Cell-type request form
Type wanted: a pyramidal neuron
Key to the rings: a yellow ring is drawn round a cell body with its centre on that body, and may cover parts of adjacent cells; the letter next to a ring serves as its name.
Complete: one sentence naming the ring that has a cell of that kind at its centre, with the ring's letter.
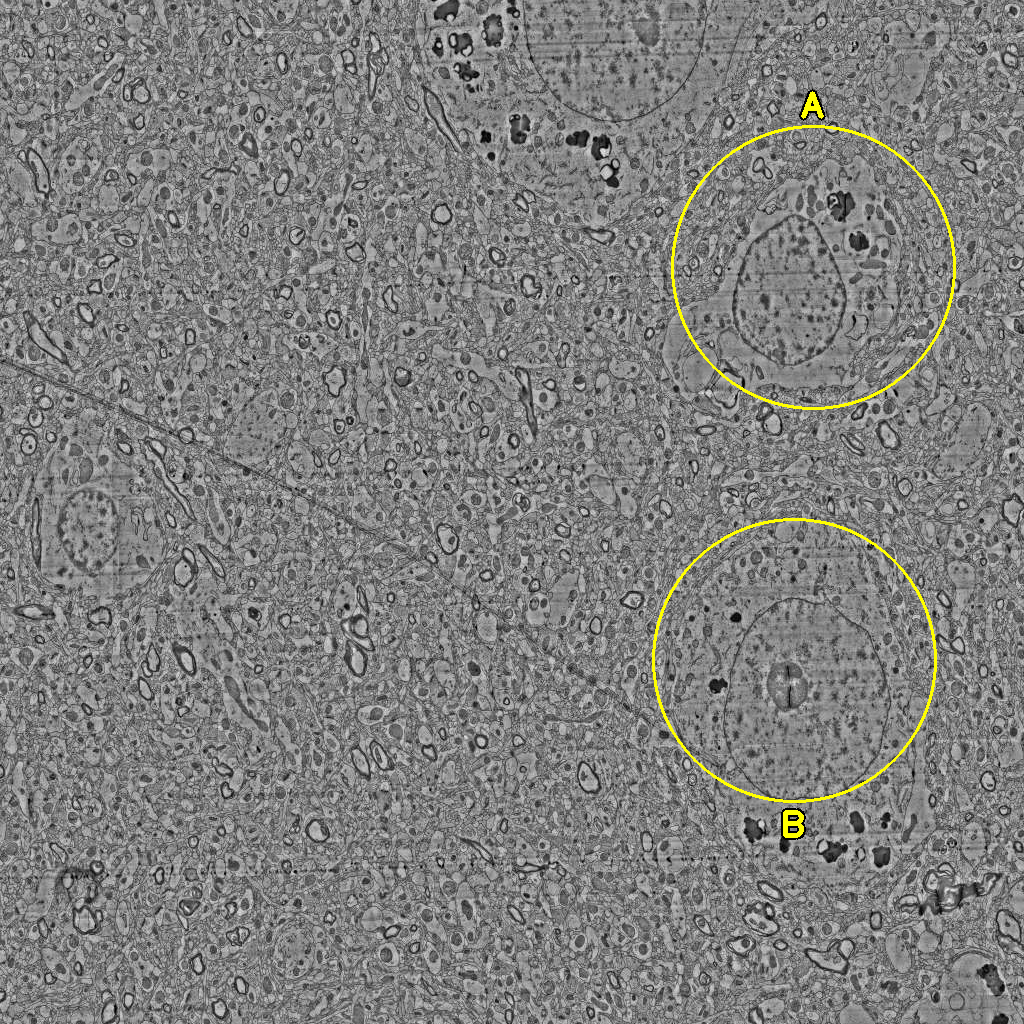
A cell of that kind sits at the centre of the ring labelled B.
